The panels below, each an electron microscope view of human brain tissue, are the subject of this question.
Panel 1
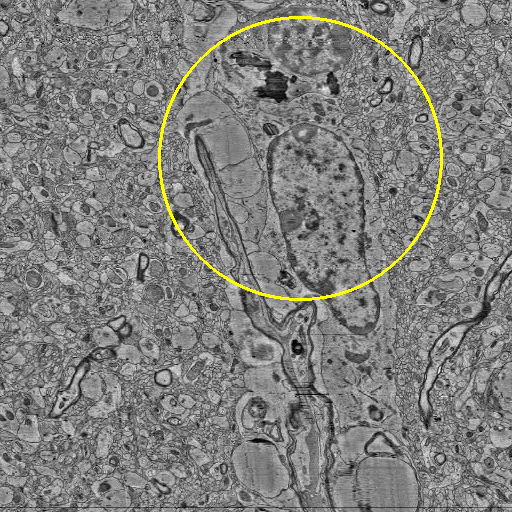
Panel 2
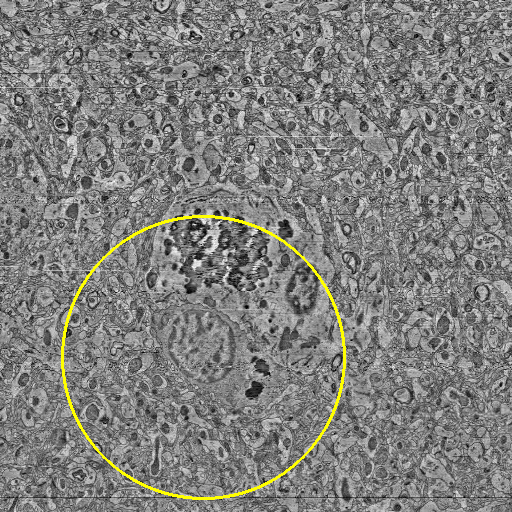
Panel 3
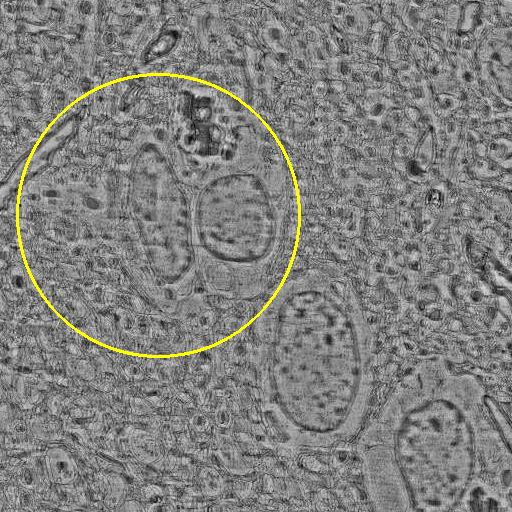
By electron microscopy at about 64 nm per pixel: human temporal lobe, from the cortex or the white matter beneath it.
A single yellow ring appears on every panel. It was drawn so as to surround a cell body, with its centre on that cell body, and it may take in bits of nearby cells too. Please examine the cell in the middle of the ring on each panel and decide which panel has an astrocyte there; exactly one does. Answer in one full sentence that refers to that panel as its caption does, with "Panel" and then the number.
Panel 3 is where the ring's central cell answers the question.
